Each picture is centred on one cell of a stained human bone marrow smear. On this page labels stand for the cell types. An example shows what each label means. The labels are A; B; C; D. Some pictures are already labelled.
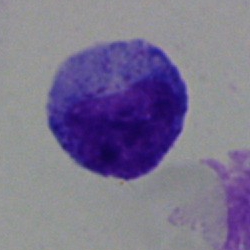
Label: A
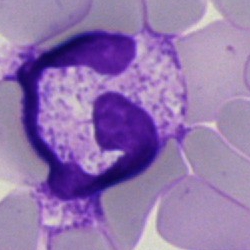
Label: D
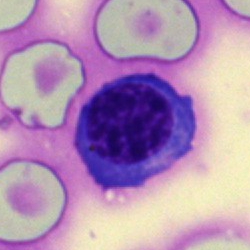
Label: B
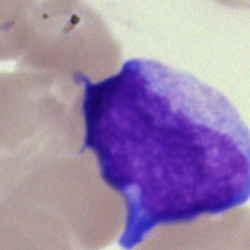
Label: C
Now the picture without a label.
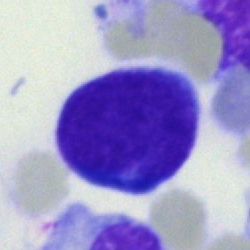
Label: C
